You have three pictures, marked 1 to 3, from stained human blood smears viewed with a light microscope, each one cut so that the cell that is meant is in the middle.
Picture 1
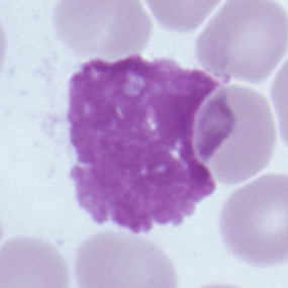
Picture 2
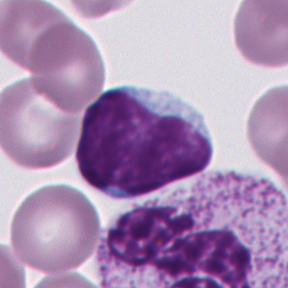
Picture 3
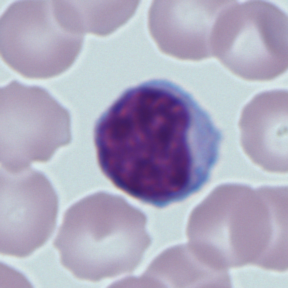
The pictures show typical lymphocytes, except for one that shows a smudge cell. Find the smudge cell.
1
